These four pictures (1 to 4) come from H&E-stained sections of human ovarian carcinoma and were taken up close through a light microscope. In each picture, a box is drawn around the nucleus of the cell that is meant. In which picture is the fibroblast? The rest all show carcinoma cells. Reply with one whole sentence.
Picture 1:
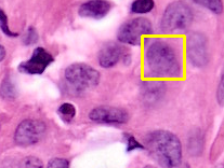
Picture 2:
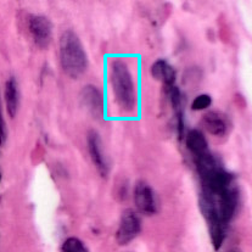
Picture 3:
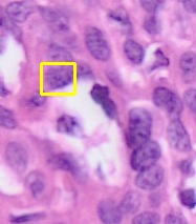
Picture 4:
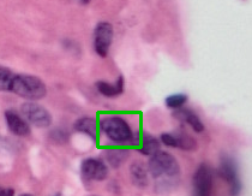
Picture 2 shows the fibroblast.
